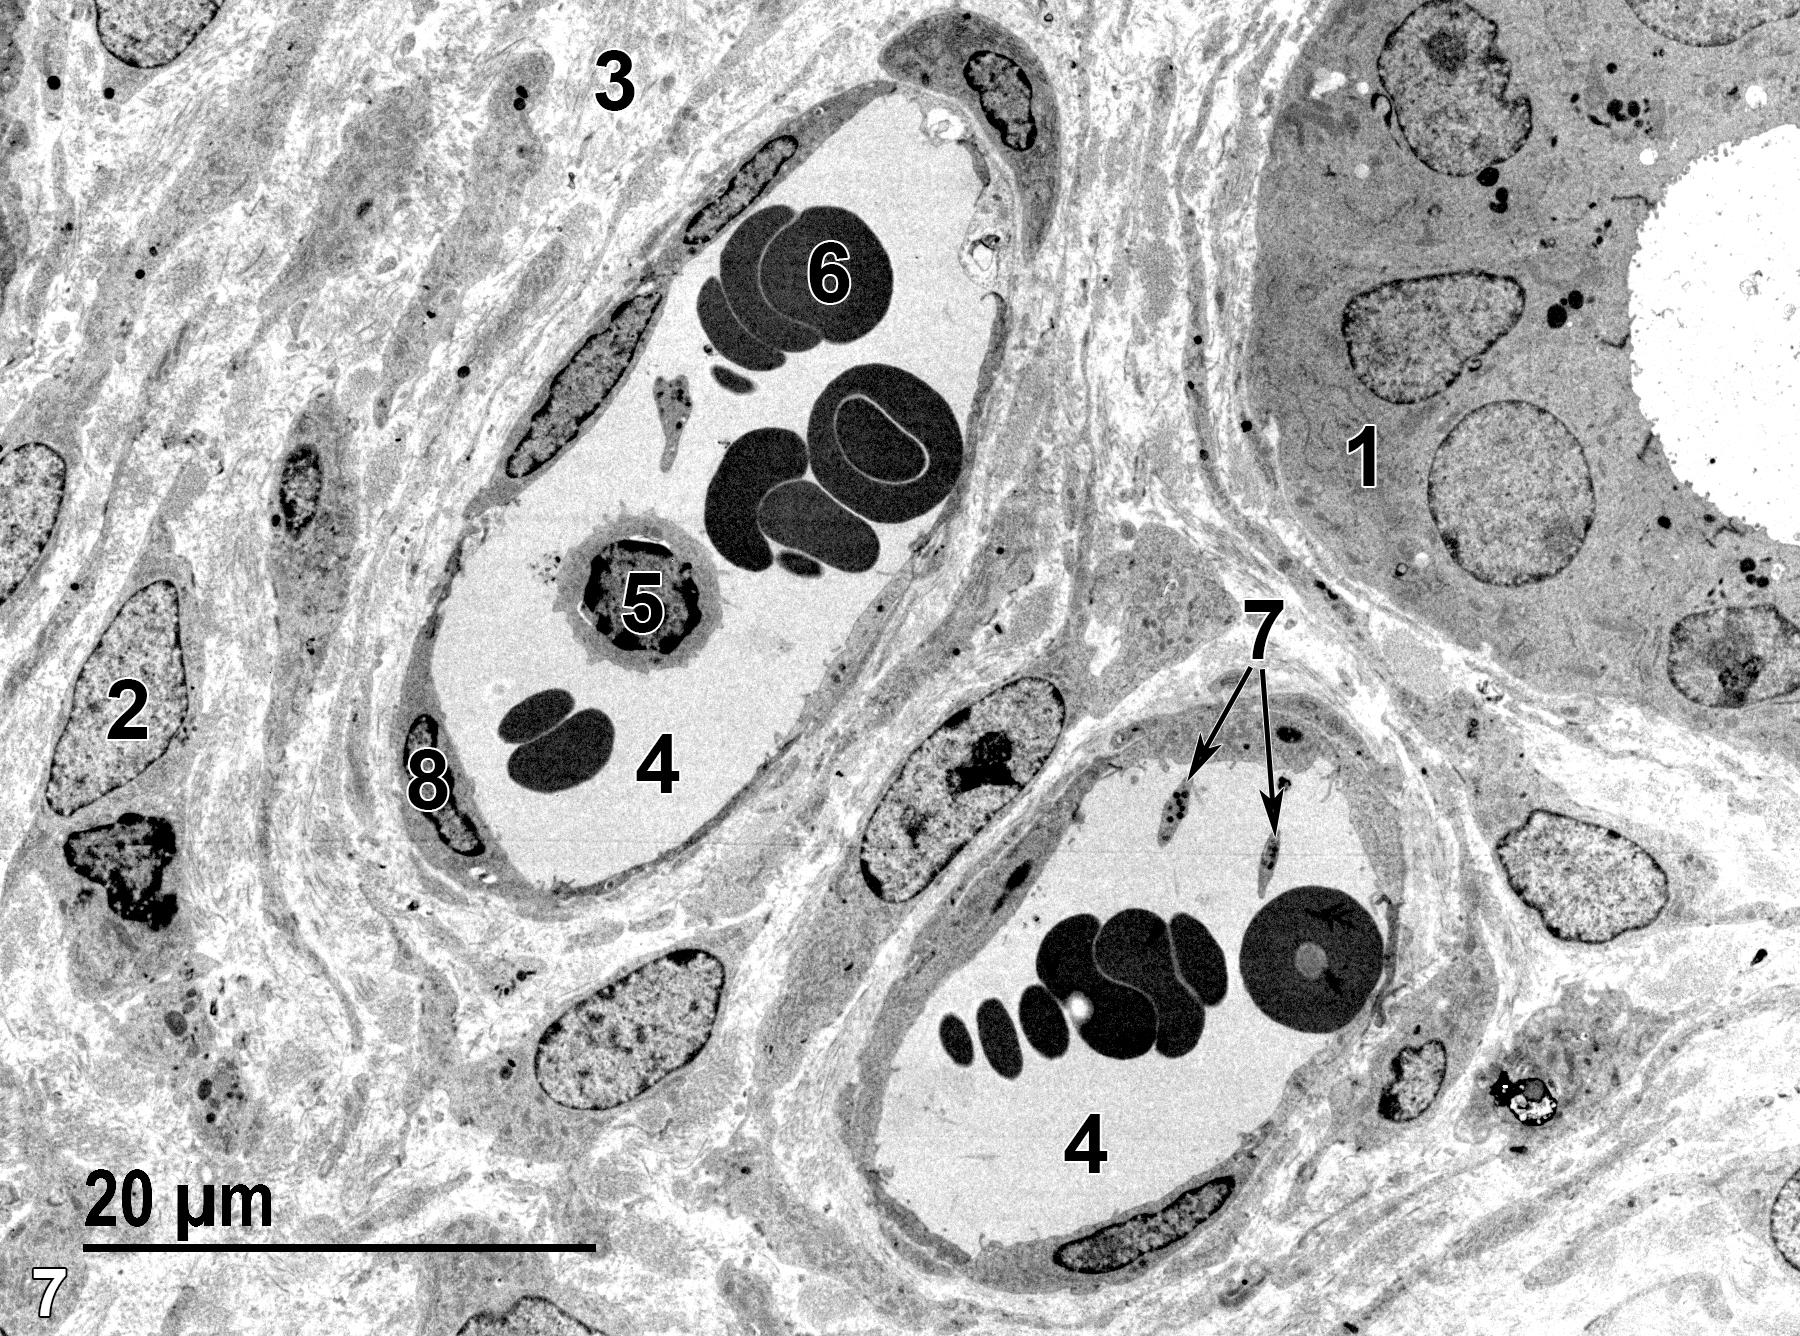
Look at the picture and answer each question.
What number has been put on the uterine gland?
The uterine gland: 1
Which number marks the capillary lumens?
The capillary lumens: 4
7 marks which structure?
platelets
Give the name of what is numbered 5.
At 5: lymphocyte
